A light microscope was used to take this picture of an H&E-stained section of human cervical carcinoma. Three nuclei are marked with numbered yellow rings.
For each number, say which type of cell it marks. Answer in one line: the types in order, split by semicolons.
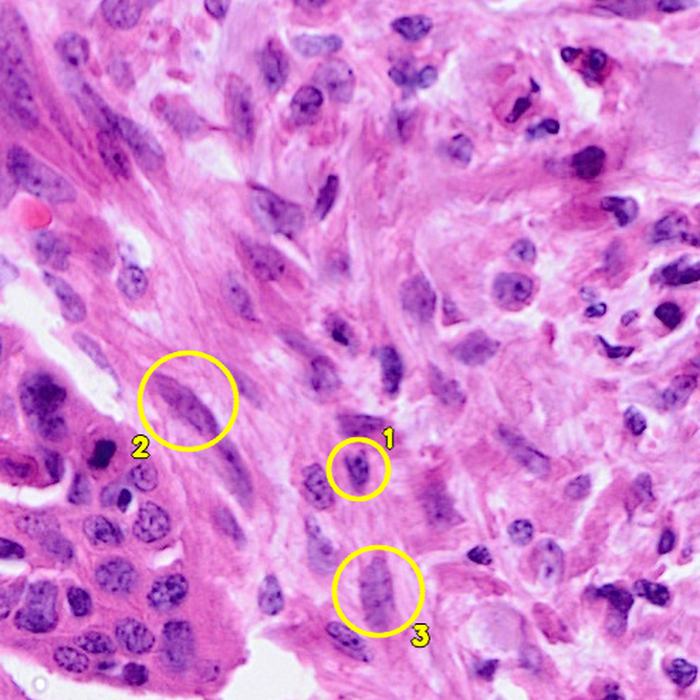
lymphocyte; fibroblast; fibroblast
